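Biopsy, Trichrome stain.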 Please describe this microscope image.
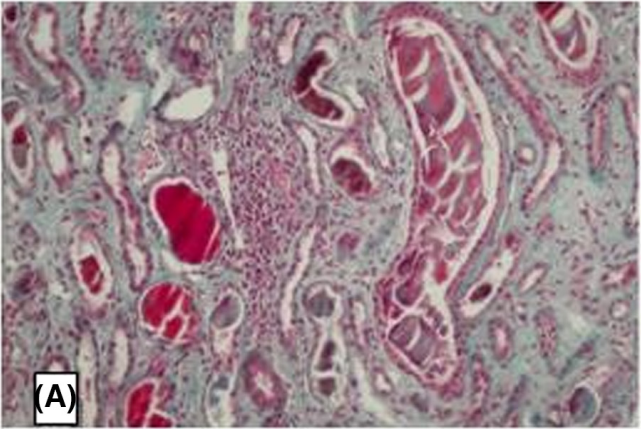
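Renal cortex with tubules cut in various planes, several of whose lumina are filled with dense red, cracked, glassy casts. The tubules holding casts are lined by flattened epithelium, and between them the interstitium holds a dense collection of small nucleated inflammatory cells set in blue-green fibrous tissue.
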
